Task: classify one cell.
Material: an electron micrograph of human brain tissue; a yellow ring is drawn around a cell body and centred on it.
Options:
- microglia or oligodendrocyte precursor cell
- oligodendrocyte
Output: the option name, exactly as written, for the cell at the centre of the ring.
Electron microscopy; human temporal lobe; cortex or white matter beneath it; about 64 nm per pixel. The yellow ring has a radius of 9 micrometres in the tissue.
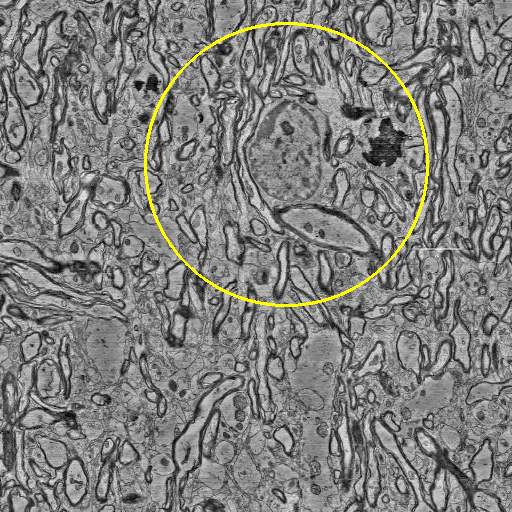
oligodendrocyte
